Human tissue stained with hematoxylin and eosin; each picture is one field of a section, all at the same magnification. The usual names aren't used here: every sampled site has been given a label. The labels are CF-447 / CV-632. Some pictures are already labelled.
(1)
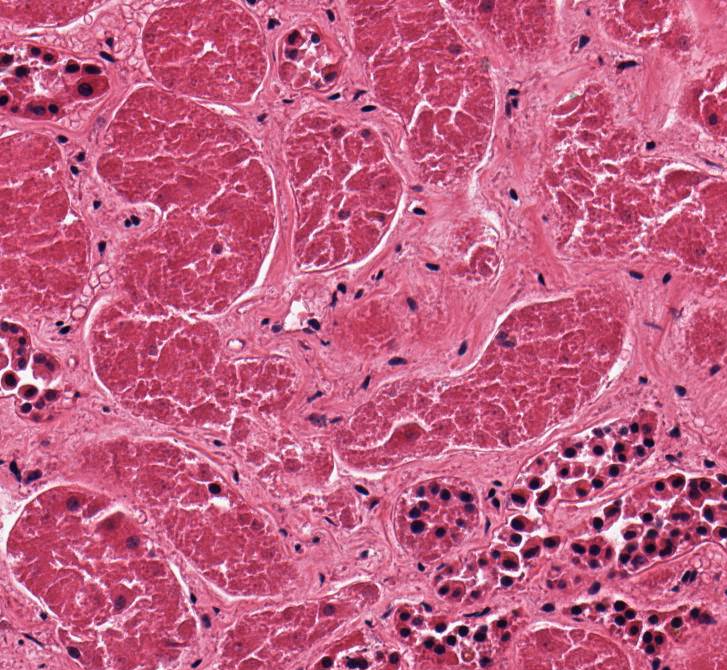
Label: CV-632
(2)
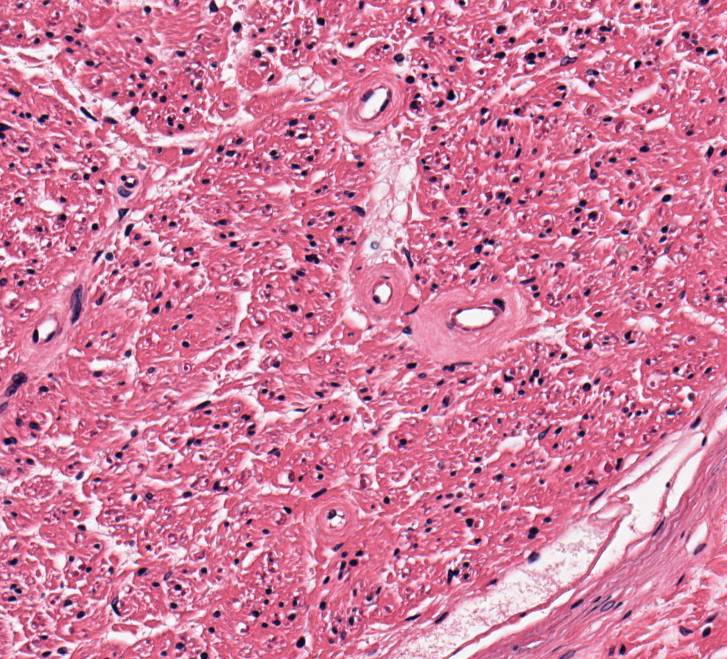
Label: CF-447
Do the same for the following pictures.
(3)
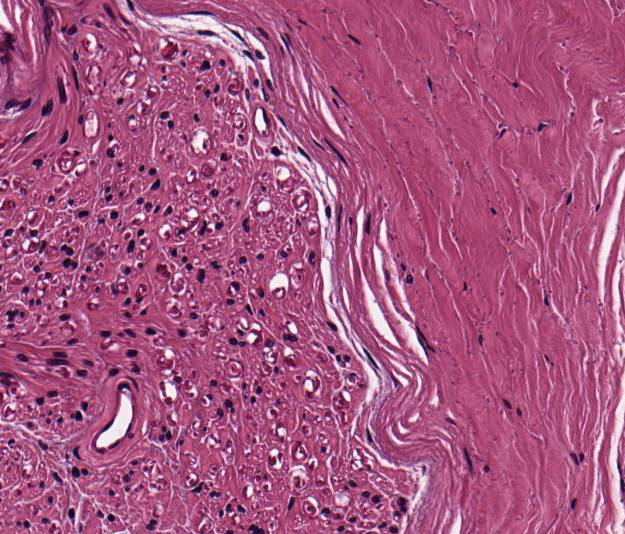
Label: CF-447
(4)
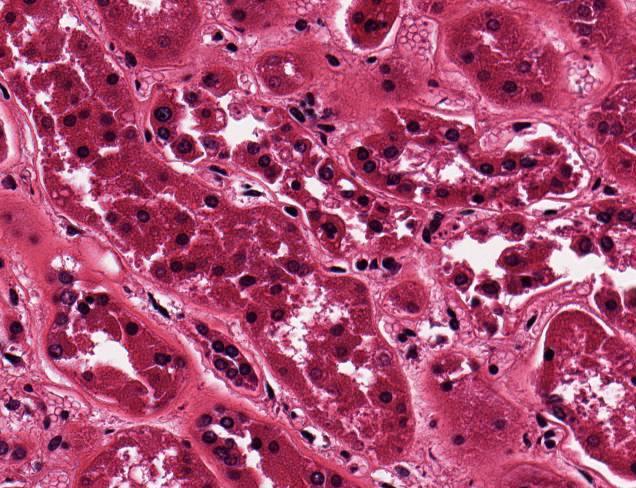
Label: CV-632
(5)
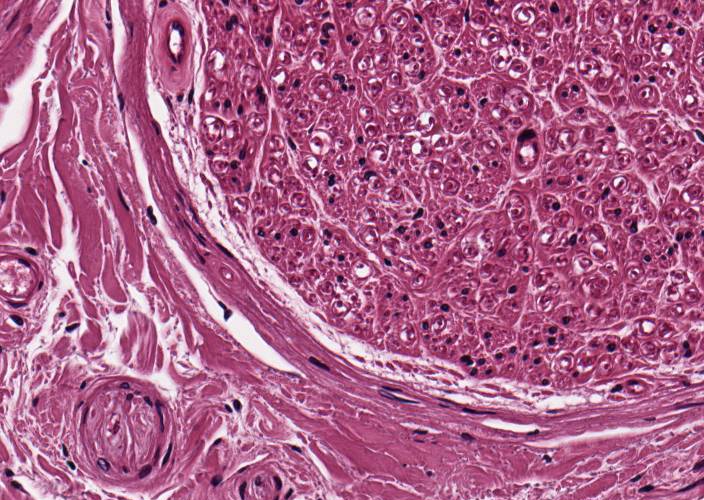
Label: CF-447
